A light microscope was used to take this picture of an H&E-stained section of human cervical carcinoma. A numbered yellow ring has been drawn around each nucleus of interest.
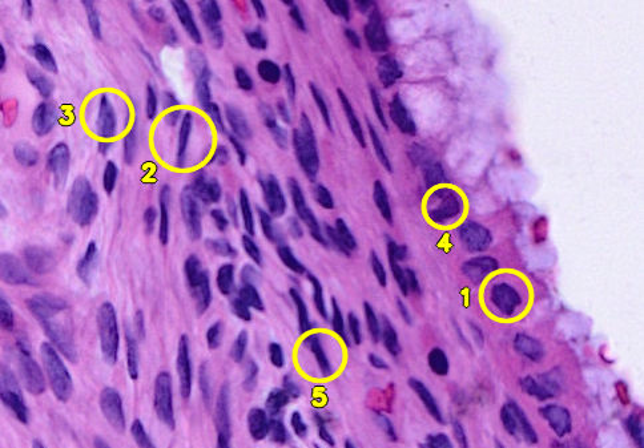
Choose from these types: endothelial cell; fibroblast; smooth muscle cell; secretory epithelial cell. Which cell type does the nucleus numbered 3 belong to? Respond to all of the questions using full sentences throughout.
The nucleus with number 3 is that of a fibroblast.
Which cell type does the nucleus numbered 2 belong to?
Denoted by the label 2 in the section is a fibroblast.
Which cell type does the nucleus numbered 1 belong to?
The nucleus labelled 1 belongs to a secretory epithelial cell.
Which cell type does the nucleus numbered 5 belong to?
The marked cell with the number 5 is recognised as a fibroblast.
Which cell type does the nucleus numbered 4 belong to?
Of the numbered cells, the one labelled 4 is a secretory epithelial cell.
